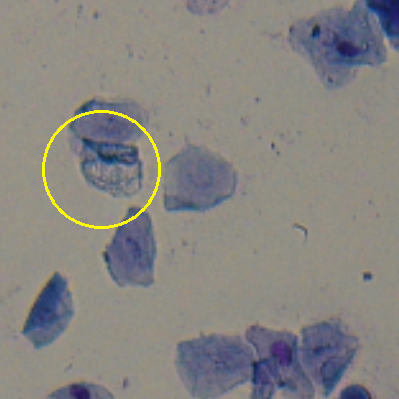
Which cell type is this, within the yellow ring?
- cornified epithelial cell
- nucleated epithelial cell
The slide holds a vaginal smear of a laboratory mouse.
Within the ring is a cornified epithelial cell.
